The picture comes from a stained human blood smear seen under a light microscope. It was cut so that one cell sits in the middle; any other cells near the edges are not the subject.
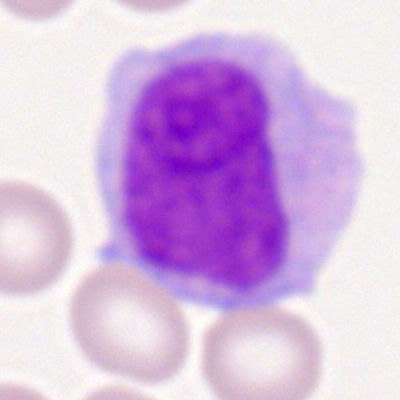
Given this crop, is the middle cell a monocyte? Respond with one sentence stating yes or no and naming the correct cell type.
Yes, the cell in the middle of this smear crop is a monocyte.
